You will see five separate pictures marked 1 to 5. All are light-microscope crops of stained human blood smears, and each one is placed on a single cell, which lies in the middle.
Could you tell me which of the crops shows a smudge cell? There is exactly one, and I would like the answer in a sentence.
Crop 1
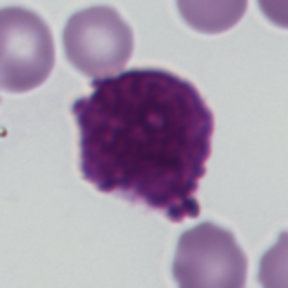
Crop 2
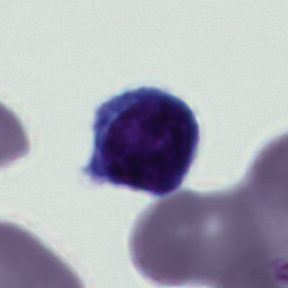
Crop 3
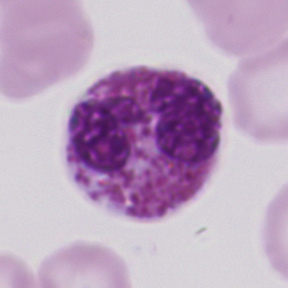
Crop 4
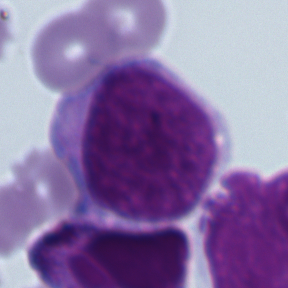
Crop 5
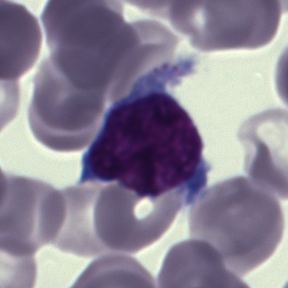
Crop 1, and no other, shows a smudge cell.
